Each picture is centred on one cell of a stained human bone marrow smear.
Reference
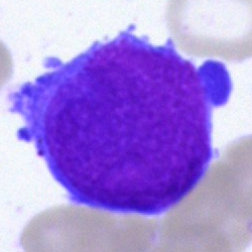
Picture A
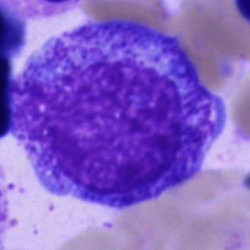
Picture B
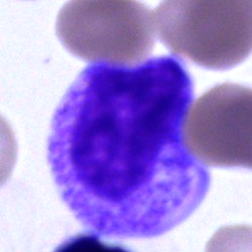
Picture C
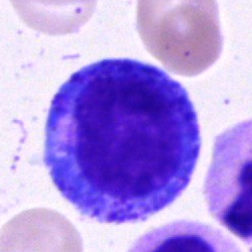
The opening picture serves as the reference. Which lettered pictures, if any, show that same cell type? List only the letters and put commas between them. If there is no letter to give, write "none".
none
